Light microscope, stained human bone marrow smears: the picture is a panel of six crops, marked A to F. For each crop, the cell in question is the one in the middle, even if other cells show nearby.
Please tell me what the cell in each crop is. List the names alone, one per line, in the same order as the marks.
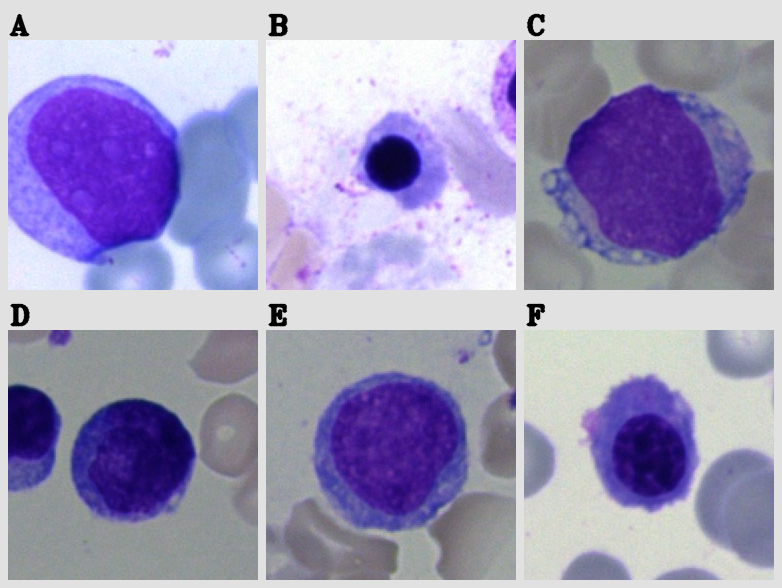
blast
erythroblast
blast
blast
blast
erythroblast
